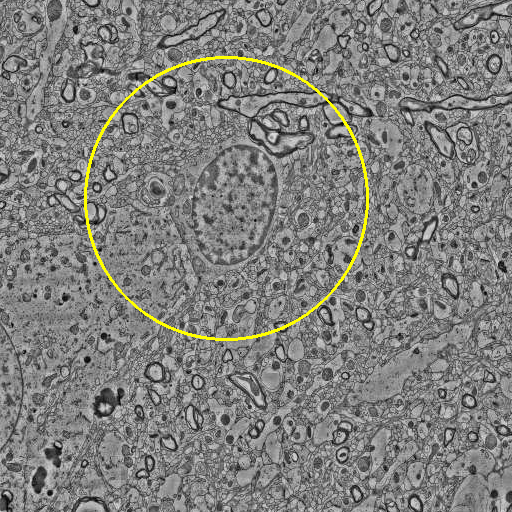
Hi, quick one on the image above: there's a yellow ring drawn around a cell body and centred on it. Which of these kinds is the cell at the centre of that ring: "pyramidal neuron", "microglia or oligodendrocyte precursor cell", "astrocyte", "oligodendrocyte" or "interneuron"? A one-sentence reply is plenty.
The cell at the centre of the ring is an oligodendrocyte.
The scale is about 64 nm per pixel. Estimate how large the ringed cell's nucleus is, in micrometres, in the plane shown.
Roughly 8 by 5 micrometres; in this plane, clearly longer than it is wide.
